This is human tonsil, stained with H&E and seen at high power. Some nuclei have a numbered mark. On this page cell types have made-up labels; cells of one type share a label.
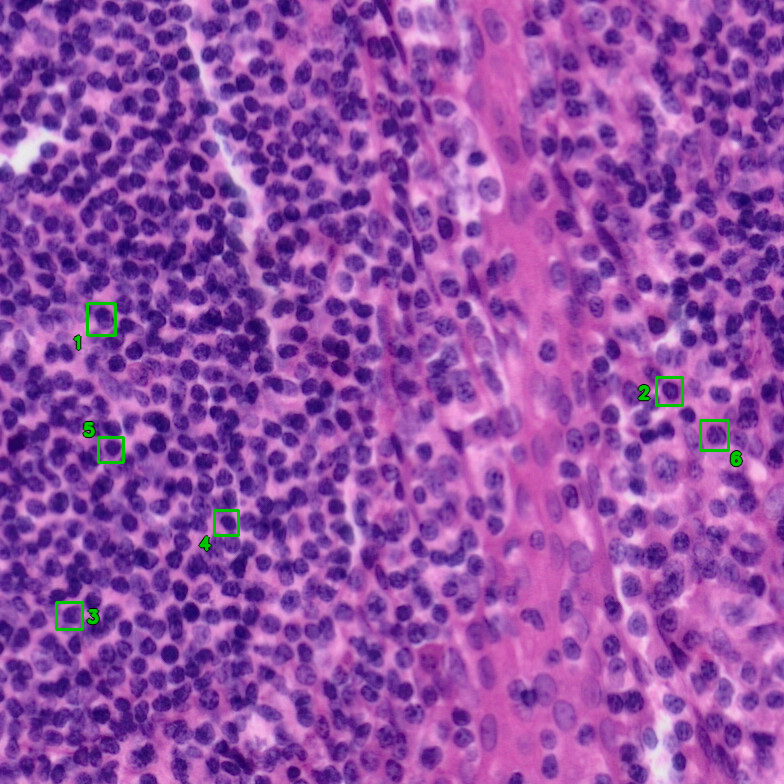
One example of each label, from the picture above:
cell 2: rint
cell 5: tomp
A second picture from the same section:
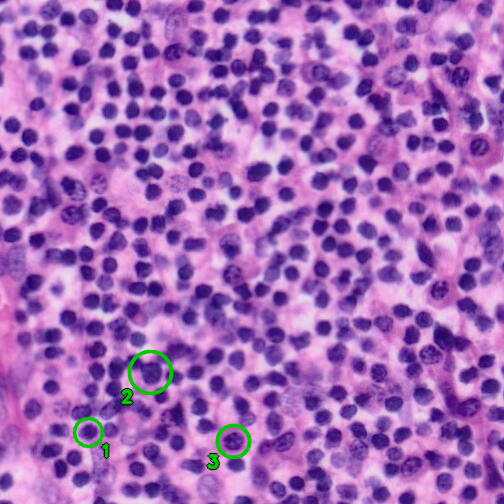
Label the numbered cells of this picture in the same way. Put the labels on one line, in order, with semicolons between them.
tomp; tomp; rint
